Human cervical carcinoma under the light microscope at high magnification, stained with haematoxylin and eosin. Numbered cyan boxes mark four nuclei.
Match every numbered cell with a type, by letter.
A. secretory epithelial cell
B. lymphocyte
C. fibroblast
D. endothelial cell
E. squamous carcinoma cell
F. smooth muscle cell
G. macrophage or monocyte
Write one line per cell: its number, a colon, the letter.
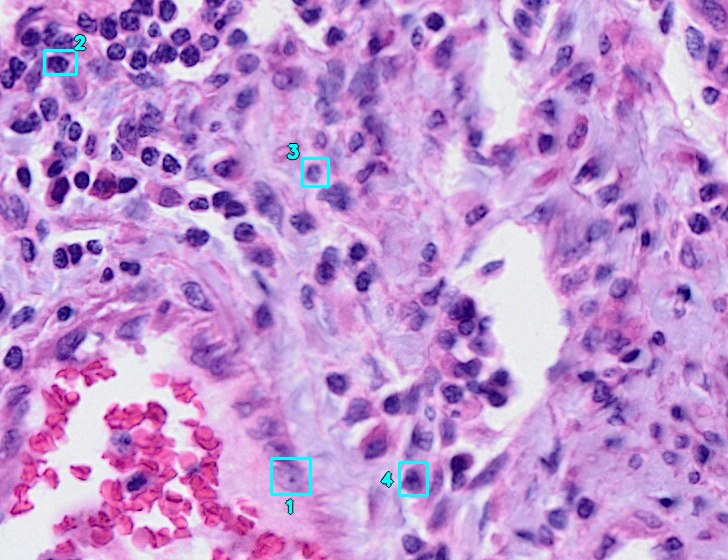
1: D
2: B
3: B
4: B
